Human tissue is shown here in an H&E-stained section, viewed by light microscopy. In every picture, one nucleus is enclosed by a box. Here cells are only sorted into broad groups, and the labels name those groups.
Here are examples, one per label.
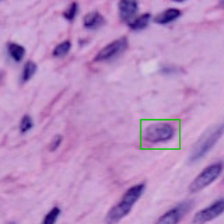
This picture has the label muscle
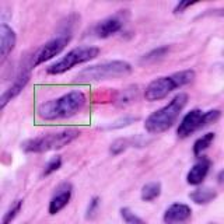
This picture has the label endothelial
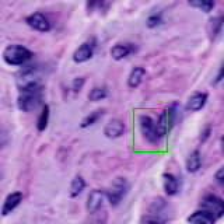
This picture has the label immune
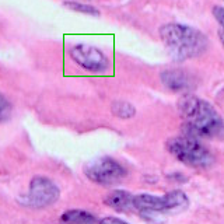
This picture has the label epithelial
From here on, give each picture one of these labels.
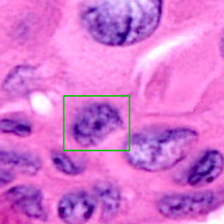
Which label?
epithelial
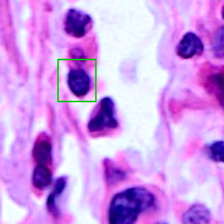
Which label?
immune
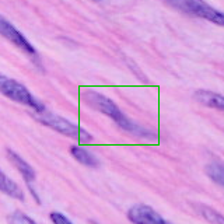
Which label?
muscle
